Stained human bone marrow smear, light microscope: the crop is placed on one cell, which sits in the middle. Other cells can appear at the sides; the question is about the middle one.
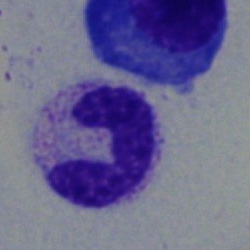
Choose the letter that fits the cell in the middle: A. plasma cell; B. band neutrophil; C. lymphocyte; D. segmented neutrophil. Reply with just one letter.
B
